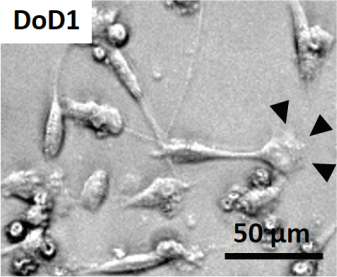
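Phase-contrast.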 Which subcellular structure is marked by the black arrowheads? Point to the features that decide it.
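Growth cone. The arrowheads point to a flattened, spread expansion at the tip of a process. The expansion is broader than the thin process leading to it.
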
